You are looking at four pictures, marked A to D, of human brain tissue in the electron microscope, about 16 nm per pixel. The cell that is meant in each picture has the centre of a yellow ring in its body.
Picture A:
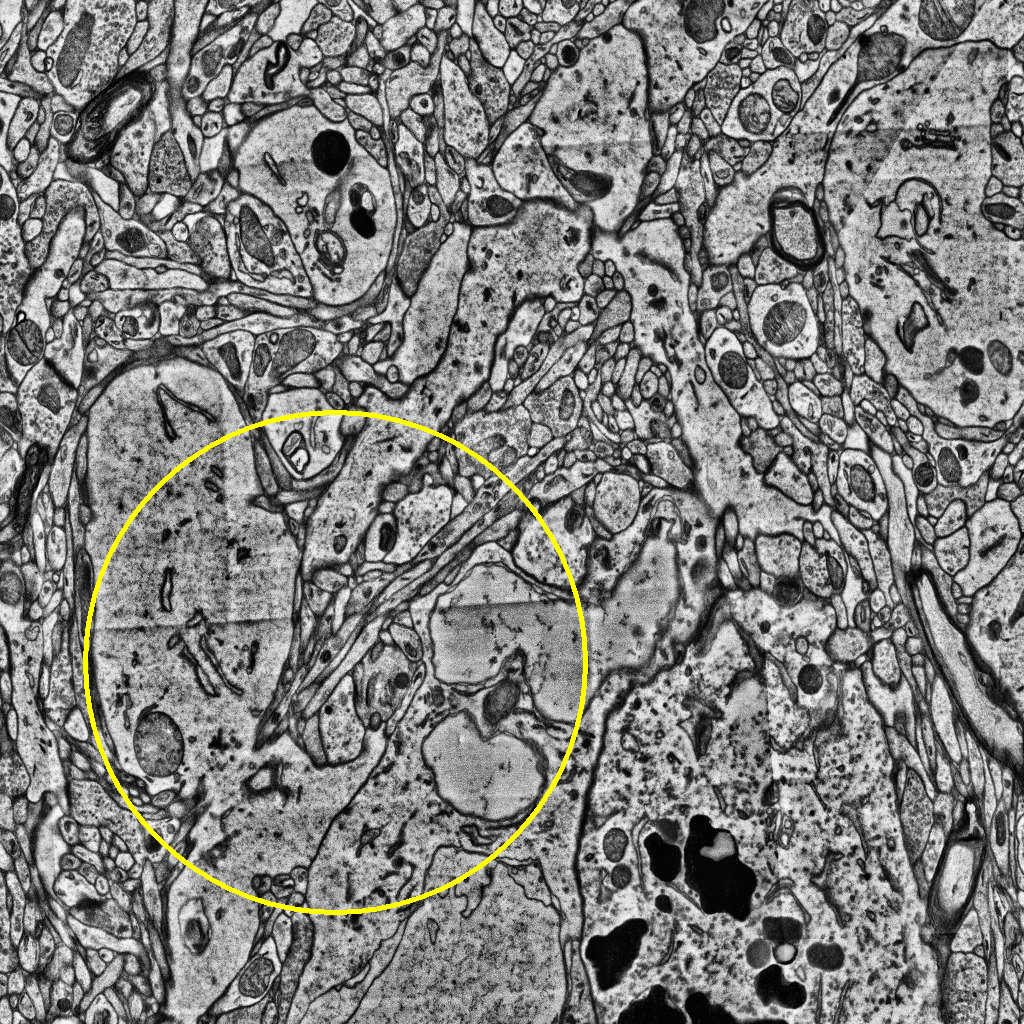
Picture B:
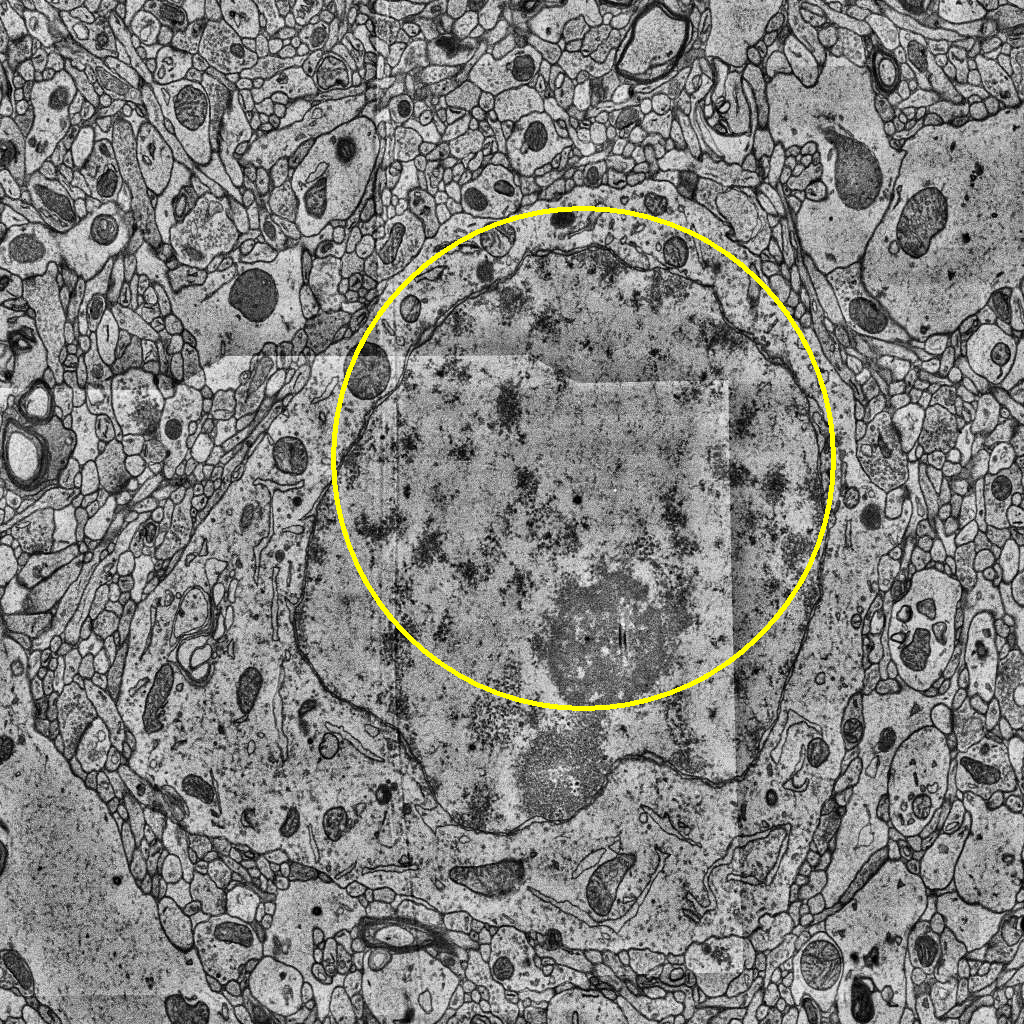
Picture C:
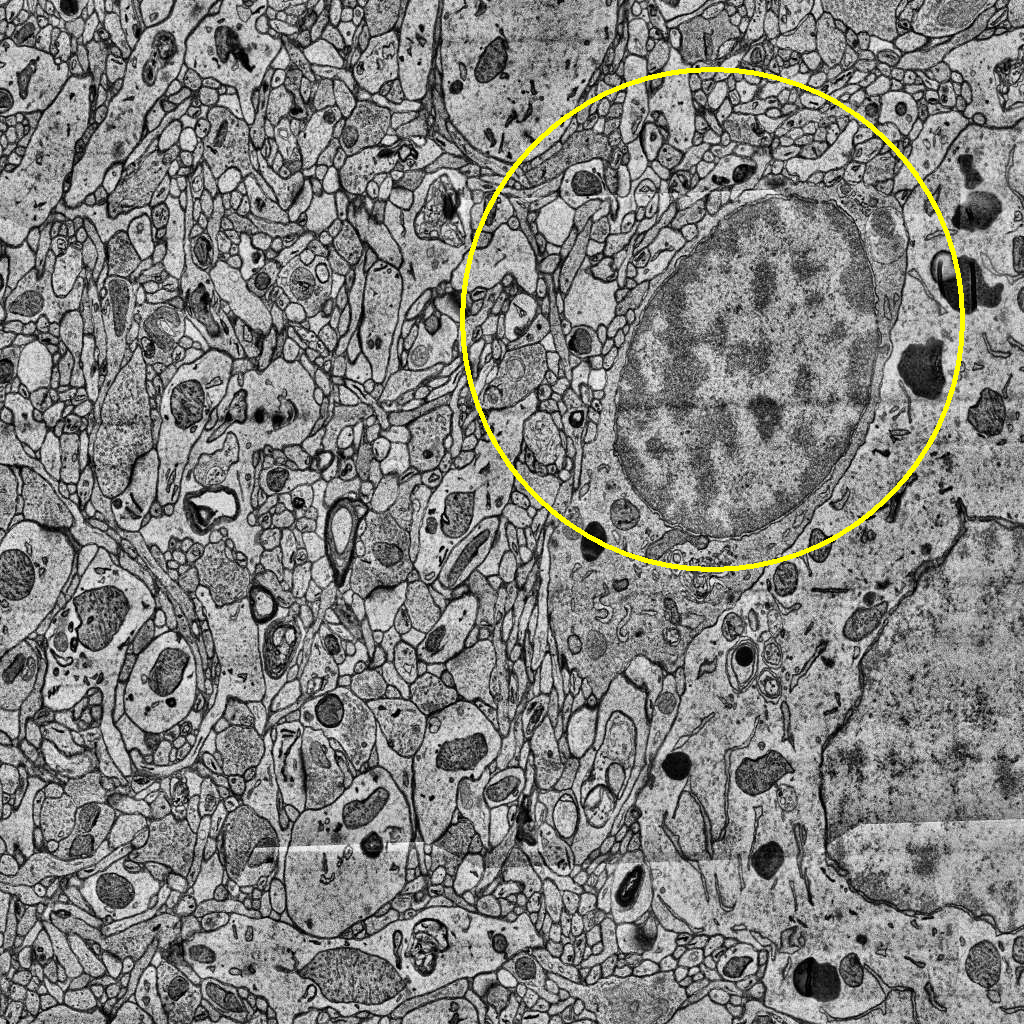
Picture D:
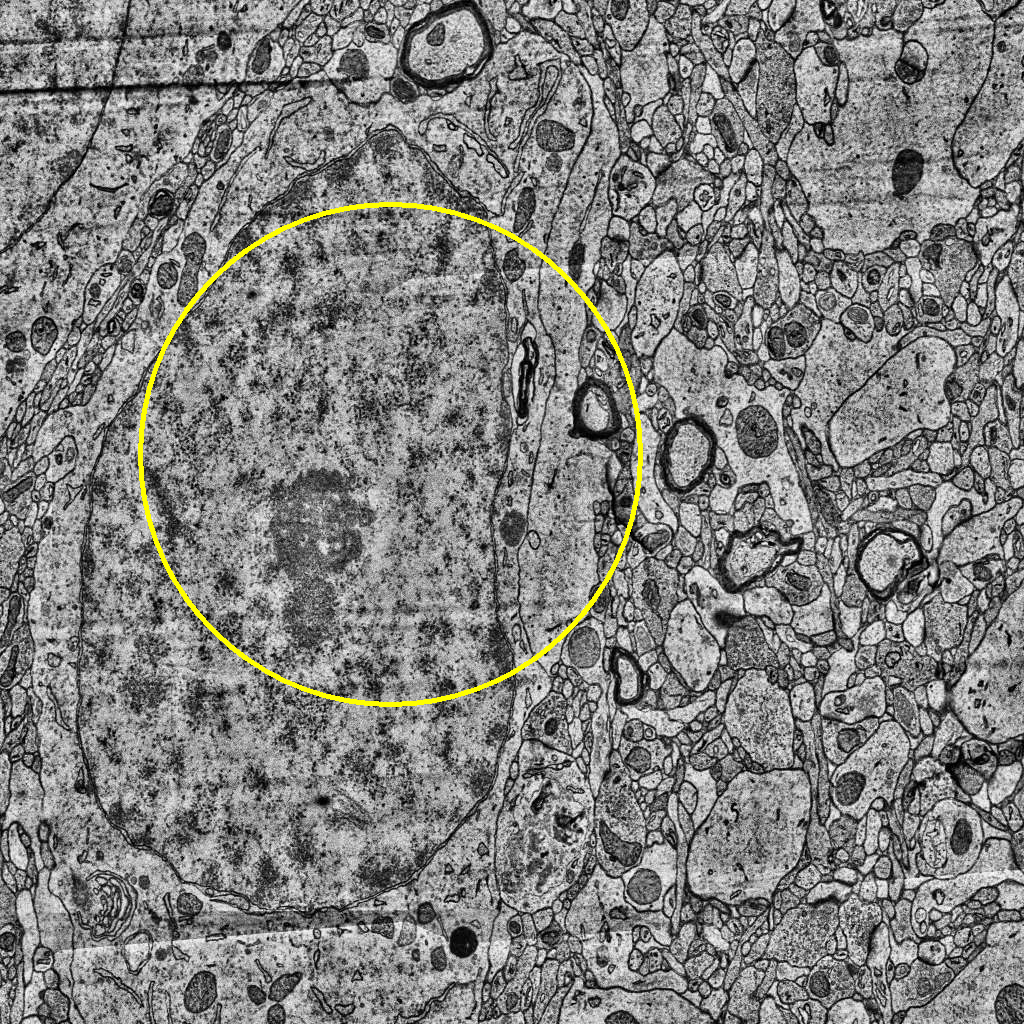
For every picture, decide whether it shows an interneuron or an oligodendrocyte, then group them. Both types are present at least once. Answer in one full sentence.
Pictures B and D show interneurons; pictures A and C show oligodendrocytes.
